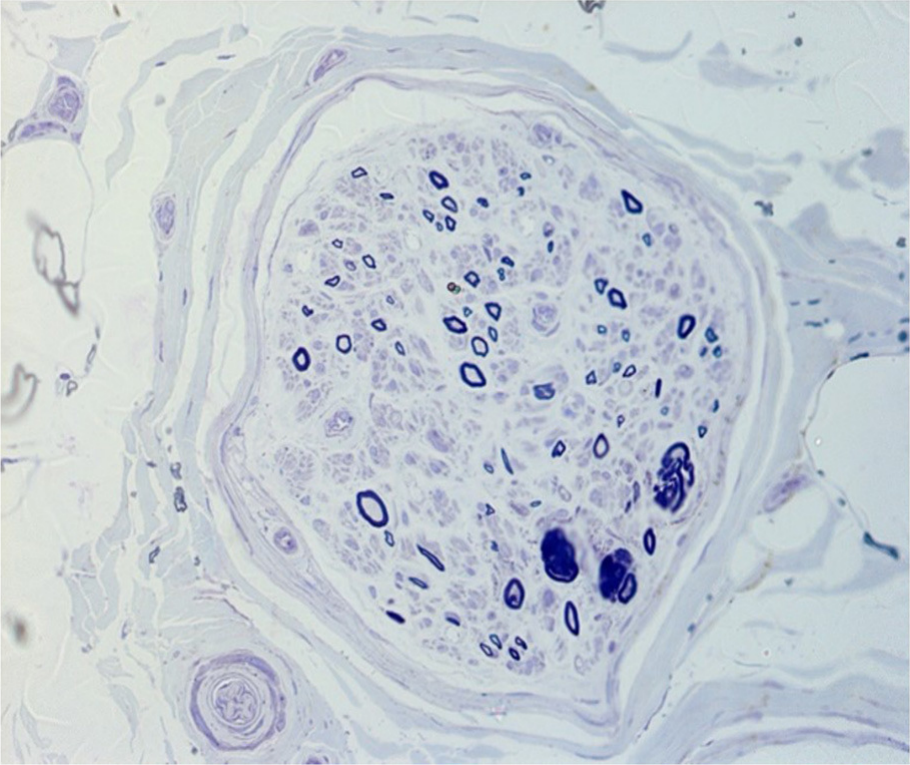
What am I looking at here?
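A single nerve fascicle is cut in cross-section. It is enclosed by a layered pale sheath of perineurium and lies within looser surrounding connective tissue. Myelinated fibers show as dark blue rings of varied size, but they are few and widely scattered among pale endoneurial tissue. In the lower right, a few dense, dark blue, irregular clumps of myelin debris mark fibers that are breaking down.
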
